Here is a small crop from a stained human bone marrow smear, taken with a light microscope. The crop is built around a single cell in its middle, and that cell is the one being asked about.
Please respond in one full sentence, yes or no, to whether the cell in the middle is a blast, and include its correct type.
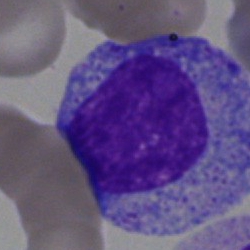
No, the cell at the centre of the crop corresponds to a promyelocyte, not a blast.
